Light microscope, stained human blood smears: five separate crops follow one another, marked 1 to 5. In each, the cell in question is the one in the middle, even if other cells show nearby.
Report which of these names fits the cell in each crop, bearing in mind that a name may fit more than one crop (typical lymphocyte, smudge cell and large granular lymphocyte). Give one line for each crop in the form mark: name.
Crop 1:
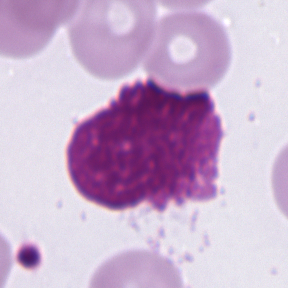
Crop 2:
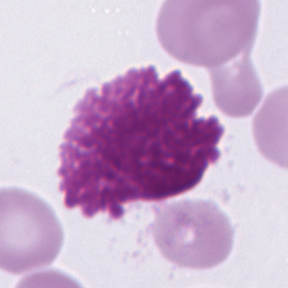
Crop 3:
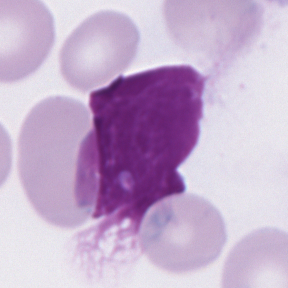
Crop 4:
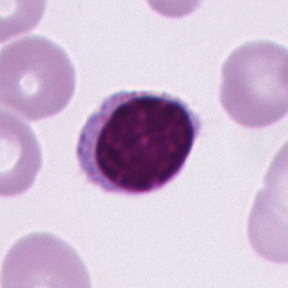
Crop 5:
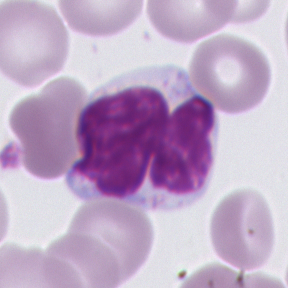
1: smudge cell
2: smudge cell
3: smudge cell
4: typical lymphocyte
5: large granular lymphocyte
